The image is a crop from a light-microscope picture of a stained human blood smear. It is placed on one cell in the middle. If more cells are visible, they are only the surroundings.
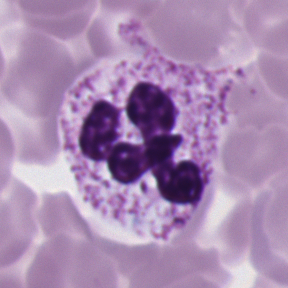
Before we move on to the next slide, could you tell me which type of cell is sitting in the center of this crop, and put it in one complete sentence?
The cell positioned in the middle of the field is a neutrophil.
